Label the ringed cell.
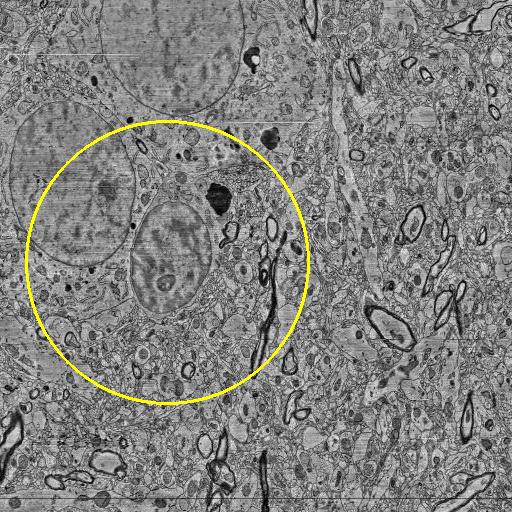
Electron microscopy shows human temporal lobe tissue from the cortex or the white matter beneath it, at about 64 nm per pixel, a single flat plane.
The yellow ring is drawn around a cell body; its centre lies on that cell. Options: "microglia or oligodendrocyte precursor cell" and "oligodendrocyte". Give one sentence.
The ringed cell is an oligodendrocyte.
